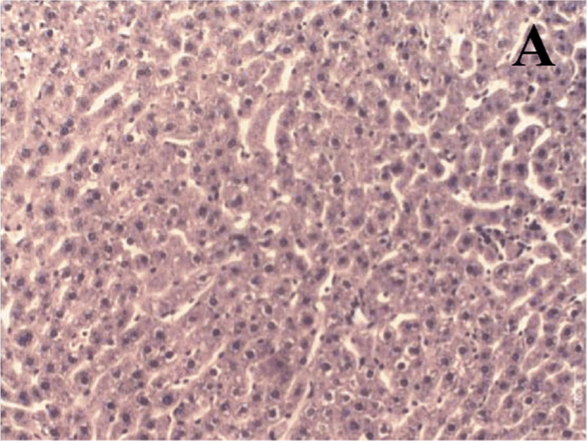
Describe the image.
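This is normal liver tissue with hepatocytes arranged in cords separated by clear sinusoidal spaces. The hepatocytes are polygonal cells with round, centrally placed dark nuclei and evenly stained pinkish cytoplasm. The cords run in a fairly regular, branching pattern across the field. The sinusoids appear as narrow pale clefts between the cords.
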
